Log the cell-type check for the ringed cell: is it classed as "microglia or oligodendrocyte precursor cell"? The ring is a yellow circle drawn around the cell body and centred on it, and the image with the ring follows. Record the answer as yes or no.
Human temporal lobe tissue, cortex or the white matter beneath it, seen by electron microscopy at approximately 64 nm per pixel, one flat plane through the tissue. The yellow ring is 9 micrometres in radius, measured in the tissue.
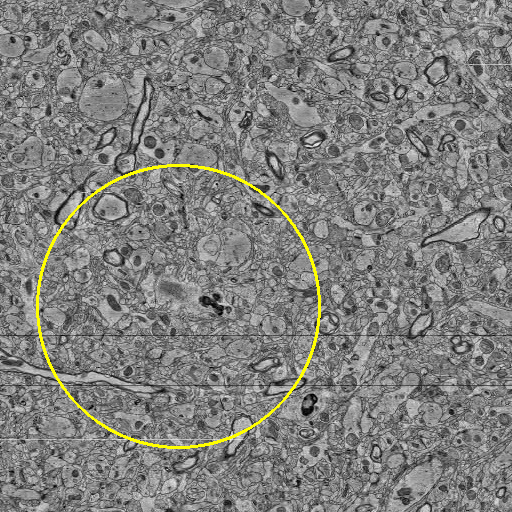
Yes, it is classed that way.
